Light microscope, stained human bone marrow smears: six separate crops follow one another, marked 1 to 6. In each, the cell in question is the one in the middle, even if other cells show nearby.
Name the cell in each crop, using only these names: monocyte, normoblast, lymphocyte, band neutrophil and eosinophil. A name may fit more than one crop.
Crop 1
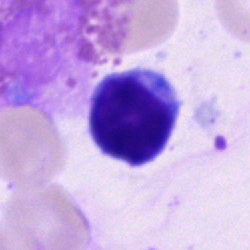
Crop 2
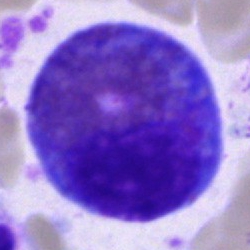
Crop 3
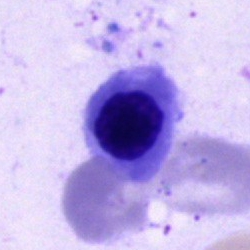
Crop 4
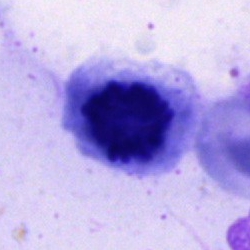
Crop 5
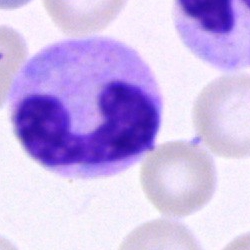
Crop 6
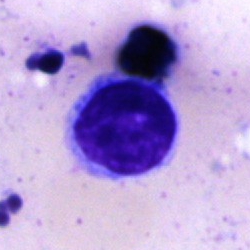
1: lymphocyte
2: eosinophil
3: normoblast
4: normoblast
5: band neutrophil
6: lymphocyte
